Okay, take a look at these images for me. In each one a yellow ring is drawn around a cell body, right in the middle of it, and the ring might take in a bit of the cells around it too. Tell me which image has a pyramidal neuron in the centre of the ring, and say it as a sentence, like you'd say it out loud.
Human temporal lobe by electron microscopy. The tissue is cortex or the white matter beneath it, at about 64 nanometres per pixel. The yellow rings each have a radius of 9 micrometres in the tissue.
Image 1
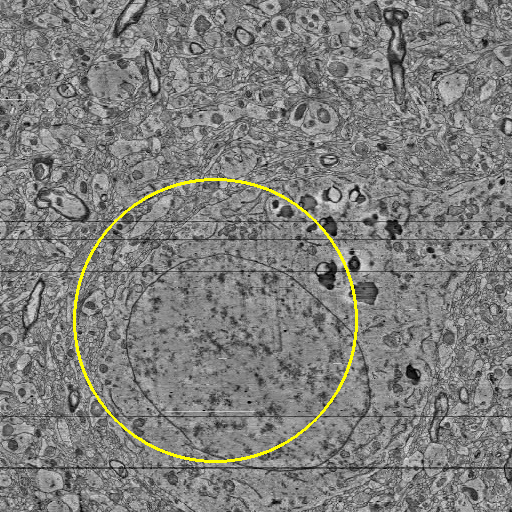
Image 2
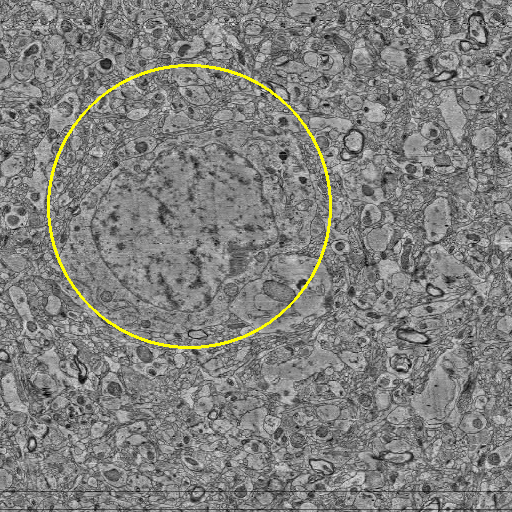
Image 1 is the one with it in the centre of the ring.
